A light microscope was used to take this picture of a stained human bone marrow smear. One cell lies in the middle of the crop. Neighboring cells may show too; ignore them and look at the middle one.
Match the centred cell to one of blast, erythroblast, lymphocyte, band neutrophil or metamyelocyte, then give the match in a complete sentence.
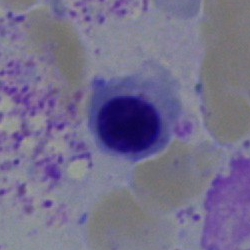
The cell in the middle of the field of view is an erythroblast.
